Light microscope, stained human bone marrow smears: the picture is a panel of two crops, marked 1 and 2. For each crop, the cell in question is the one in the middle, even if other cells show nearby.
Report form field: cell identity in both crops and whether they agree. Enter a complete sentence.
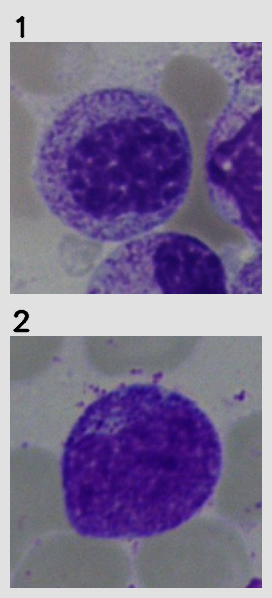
Yes, as for both crops, the cells shown are myelocytes.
